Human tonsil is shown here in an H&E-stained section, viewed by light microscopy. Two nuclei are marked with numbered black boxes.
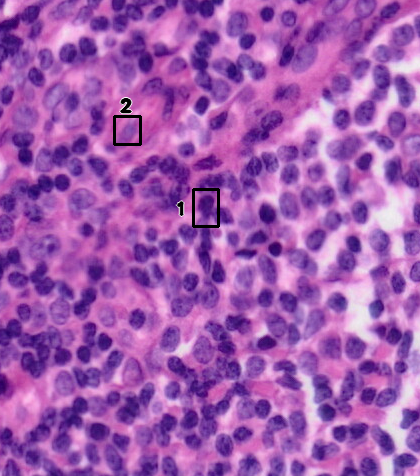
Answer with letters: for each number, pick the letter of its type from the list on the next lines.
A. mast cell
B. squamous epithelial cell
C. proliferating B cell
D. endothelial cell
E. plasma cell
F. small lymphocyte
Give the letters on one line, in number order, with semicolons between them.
F; D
